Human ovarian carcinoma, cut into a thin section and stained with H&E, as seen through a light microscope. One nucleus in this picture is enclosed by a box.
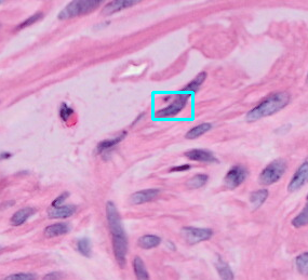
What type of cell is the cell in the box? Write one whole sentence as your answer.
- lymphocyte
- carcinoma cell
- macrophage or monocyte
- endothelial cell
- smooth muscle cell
What the cell in the box represents is a smooth muscle cell.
